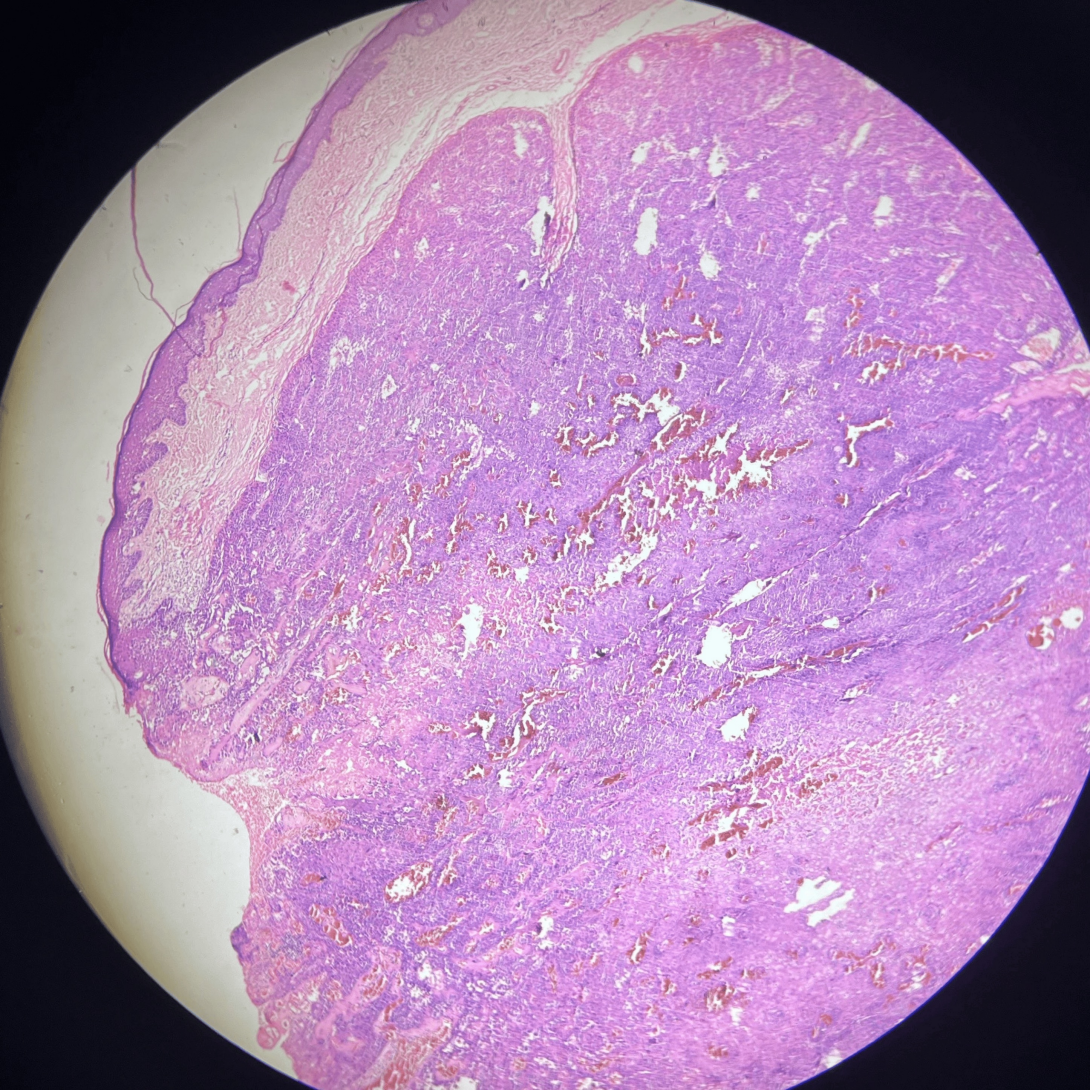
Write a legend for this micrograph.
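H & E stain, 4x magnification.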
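This is a low-power view of skin. A thin stratified squamous epidermis with a pale pink dermis beneath it runs along the upper left edge. Below it, a large, densely cellular purple proliferation fills most of the field, and it meets the epidermis at the left. The mass is packed with basophilic cells and is crossed by scattered slit-like and rounded spaces, many of them holding red blood cells.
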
